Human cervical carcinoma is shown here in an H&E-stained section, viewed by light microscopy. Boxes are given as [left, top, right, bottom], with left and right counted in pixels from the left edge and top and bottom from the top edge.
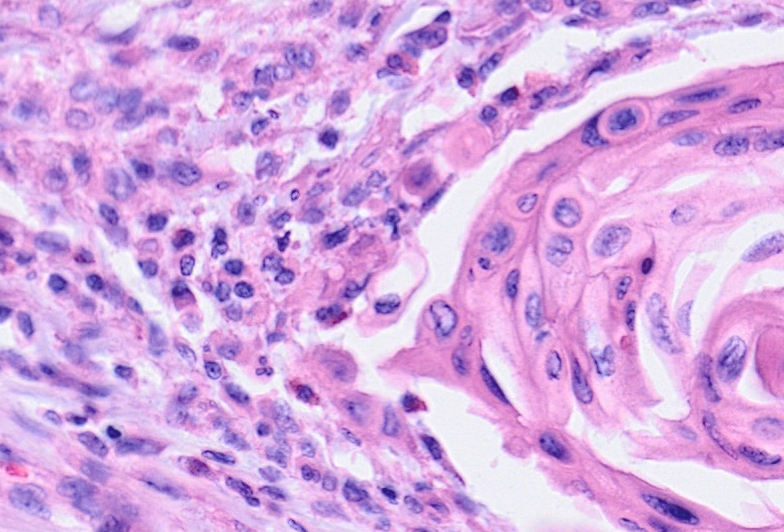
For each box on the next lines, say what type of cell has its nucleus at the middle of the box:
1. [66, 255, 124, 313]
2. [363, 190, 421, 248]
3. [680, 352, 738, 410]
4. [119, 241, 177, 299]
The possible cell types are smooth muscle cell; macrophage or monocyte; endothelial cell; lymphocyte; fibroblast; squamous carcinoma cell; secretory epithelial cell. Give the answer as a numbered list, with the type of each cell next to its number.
1. lymphocyte
2. lymphocyte
3. squamous carcinoma cell
4. lymphocyte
